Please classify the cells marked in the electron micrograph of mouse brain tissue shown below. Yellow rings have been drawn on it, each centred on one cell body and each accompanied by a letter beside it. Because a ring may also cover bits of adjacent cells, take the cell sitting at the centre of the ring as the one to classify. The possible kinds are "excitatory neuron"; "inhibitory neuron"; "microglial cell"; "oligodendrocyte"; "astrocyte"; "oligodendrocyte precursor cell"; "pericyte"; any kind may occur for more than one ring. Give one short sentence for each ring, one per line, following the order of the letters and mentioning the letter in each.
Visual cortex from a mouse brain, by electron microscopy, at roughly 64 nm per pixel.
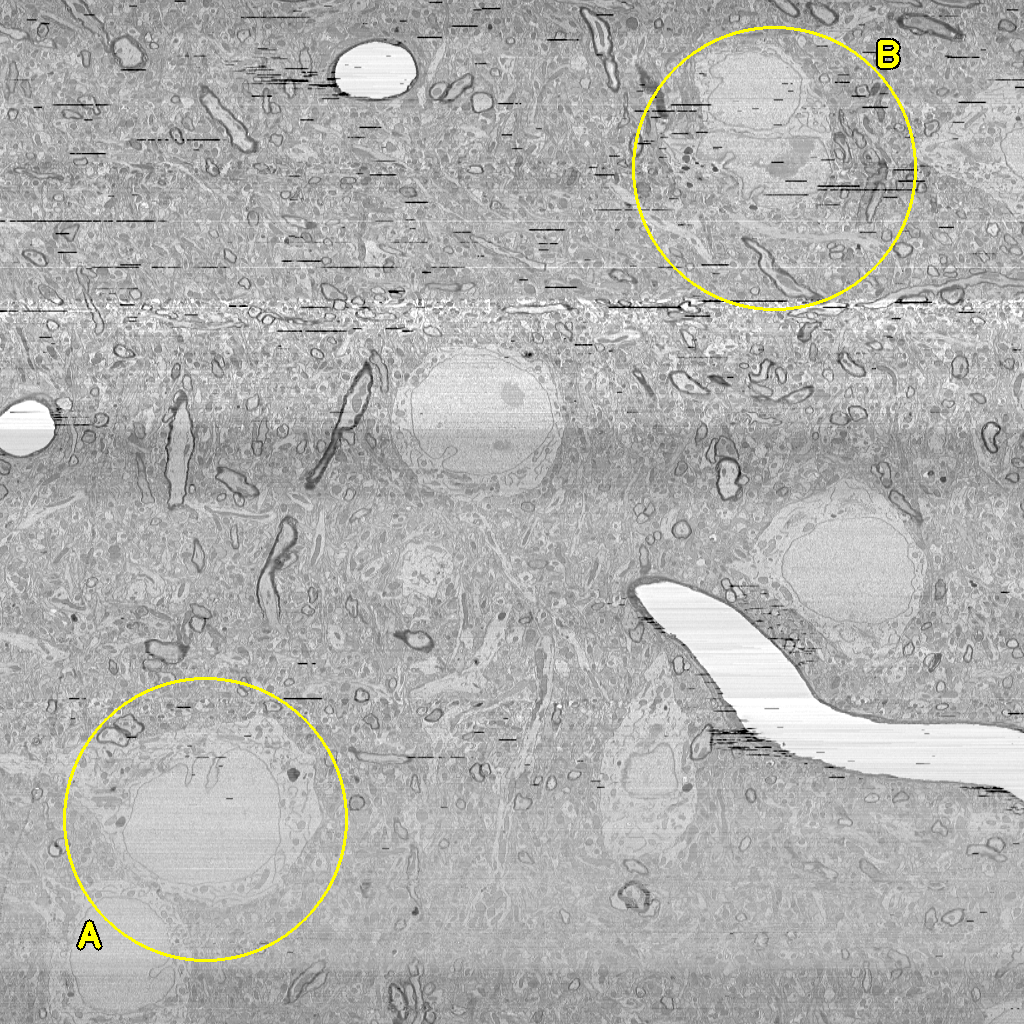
Ring A marks the cell body of an excitatory neuron.
Ring B marks the cell body of an oligodendrocyte precursor cell.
